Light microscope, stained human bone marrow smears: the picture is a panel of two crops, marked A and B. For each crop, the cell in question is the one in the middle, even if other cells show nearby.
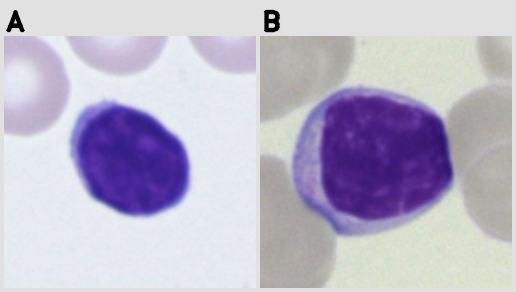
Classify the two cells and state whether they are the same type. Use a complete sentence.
Yes, the cells at the centre of both crops are lymphocytes.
